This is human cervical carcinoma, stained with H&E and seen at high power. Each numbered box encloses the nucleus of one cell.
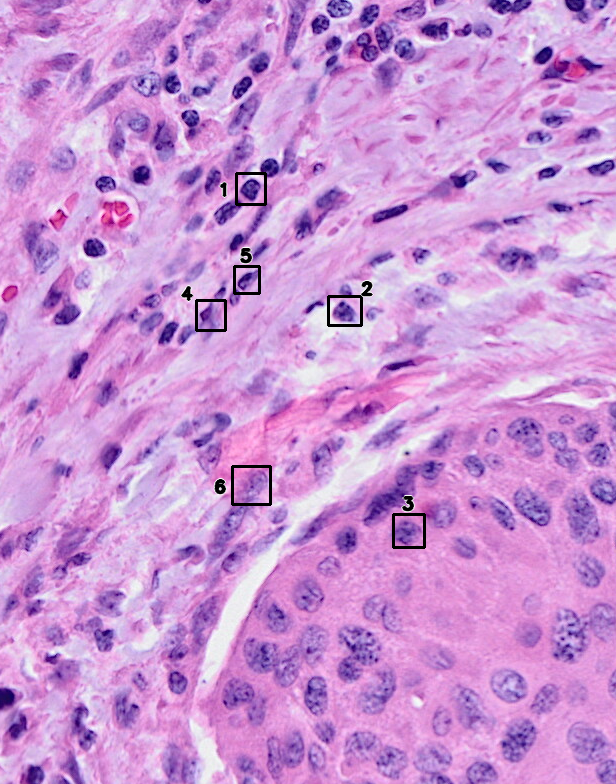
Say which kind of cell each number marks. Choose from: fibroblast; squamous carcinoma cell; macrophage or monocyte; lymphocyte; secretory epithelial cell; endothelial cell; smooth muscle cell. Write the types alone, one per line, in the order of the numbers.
lymphocyte
lymphocyte
squamous carcinoma cell
fibroblast
lymphocyte
endothelial cell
